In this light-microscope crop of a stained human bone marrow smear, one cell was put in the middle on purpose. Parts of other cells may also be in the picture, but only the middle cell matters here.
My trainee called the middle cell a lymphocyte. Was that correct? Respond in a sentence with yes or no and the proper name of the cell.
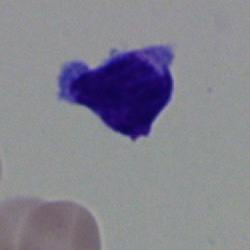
Yes, this crop has a lymphocyte at its centre.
